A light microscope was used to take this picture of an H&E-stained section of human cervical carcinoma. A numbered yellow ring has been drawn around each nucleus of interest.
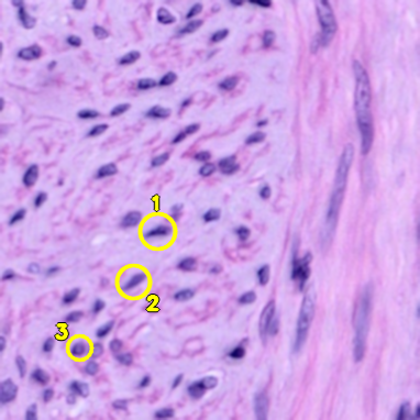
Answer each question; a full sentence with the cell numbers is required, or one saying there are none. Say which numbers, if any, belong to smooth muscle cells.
Cells 2 and 3 are recognised here as smooth muscle cells.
